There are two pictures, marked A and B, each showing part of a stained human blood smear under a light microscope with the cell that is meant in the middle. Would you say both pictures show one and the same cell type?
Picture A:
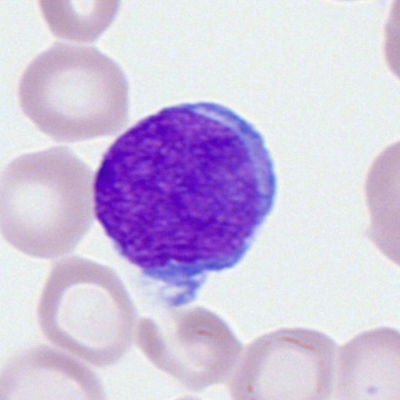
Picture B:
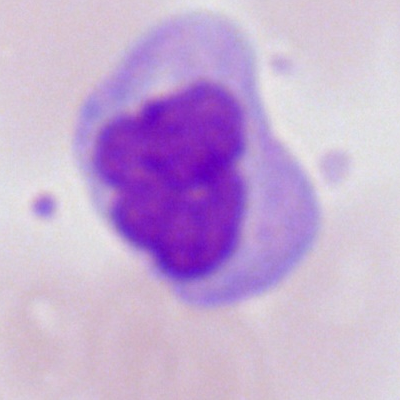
no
